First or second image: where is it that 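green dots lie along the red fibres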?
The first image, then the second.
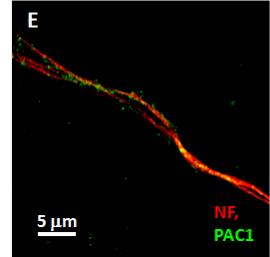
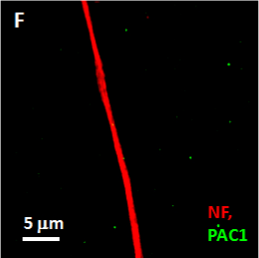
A: The first image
